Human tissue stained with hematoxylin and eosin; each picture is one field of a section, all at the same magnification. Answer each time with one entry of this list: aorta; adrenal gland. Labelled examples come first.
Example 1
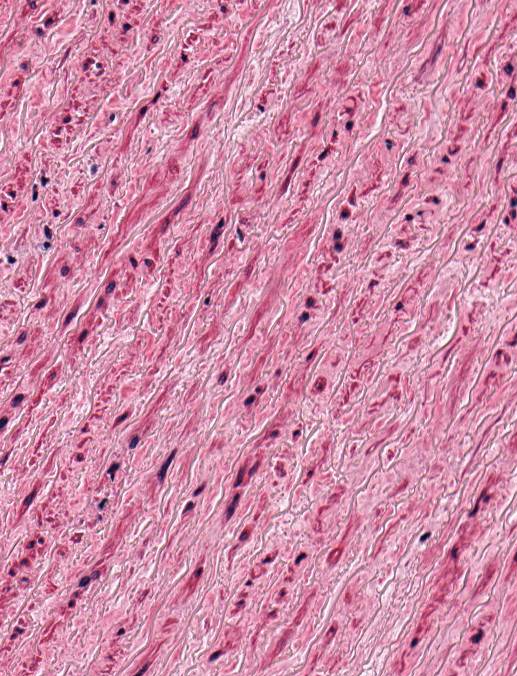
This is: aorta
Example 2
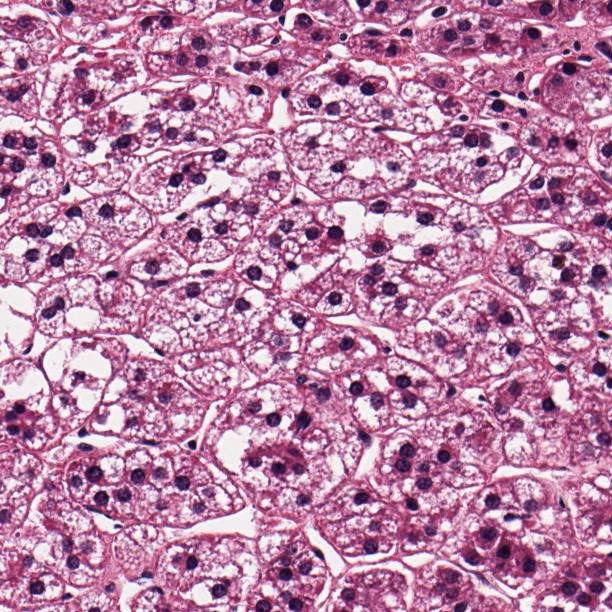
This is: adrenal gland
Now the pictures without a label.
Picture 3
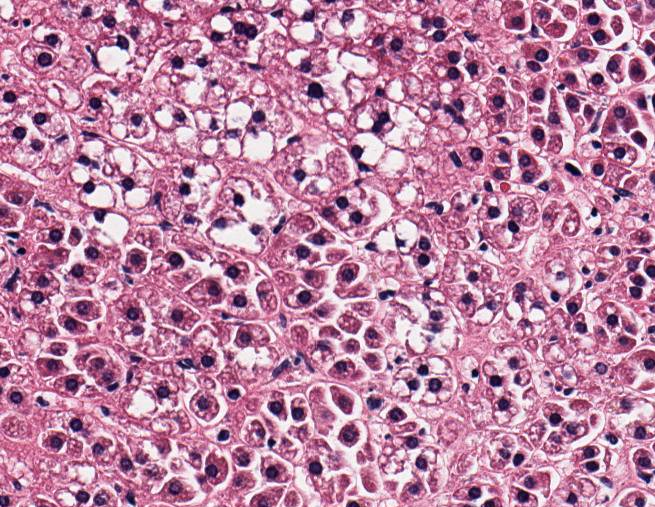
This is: adrenal gland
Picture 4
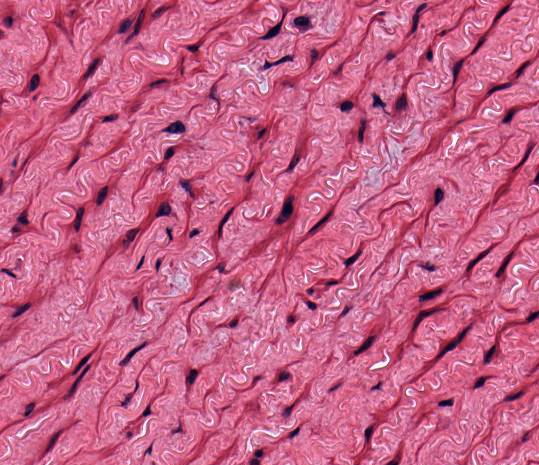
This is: aorta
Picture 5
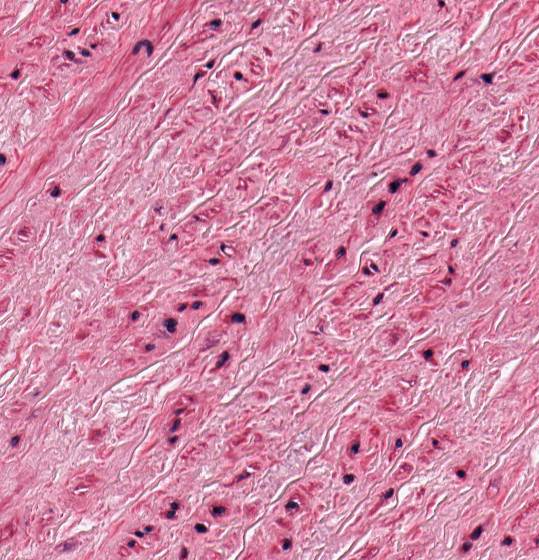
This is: aorta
